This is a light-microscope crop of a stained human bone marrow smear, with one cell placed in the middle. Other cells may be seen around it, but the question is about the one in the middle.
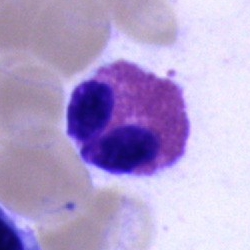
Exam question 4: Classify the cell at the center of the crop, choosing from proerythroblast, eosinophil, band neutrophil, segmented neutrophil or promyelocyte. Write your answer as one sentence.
Within this crop, an eosinophil occupies the central position.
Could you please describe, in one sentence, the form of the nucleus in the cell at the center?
The nucleus is segmented, with two or more lobes present.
